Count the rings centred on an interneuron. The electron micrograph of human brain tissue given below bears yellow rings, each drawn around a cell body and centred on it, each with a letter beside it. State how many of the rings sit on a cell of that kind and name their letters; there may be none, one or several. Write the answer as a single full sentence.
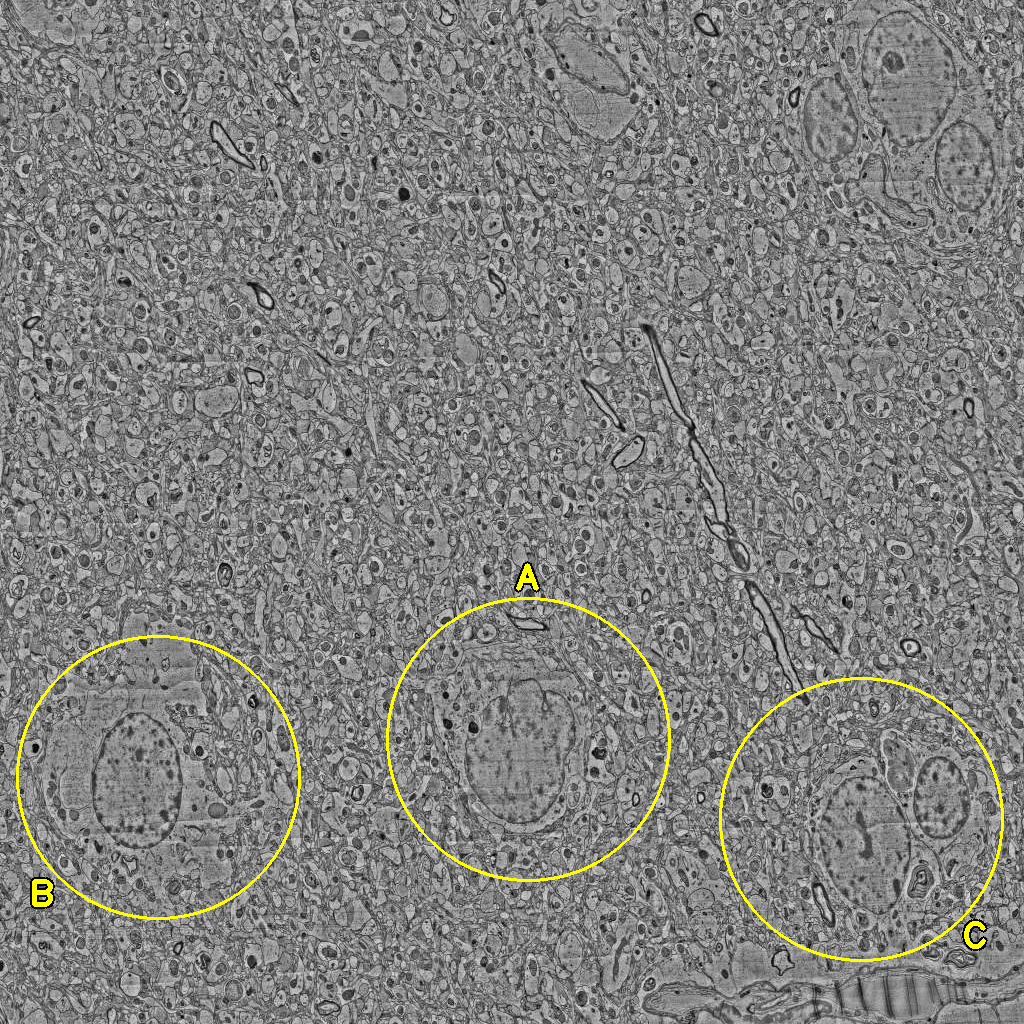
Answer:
In the micrograph, an interneuron sits at the centre of a single ring, lettered A.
